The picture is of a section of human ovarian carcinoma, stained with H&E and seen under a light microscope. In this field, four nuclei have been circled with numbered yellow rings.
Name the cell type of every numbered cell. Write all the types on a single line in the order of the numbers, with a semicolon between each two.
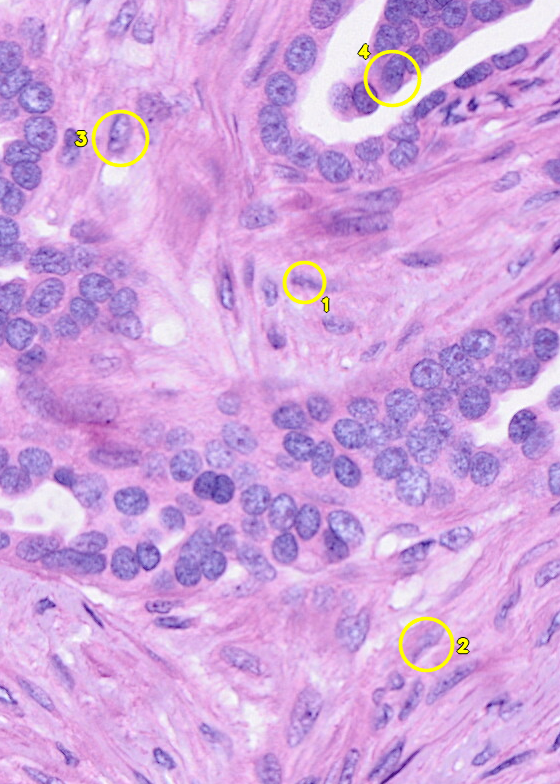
fibroblast; fibroblast; fibroblast; carcinoma cell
